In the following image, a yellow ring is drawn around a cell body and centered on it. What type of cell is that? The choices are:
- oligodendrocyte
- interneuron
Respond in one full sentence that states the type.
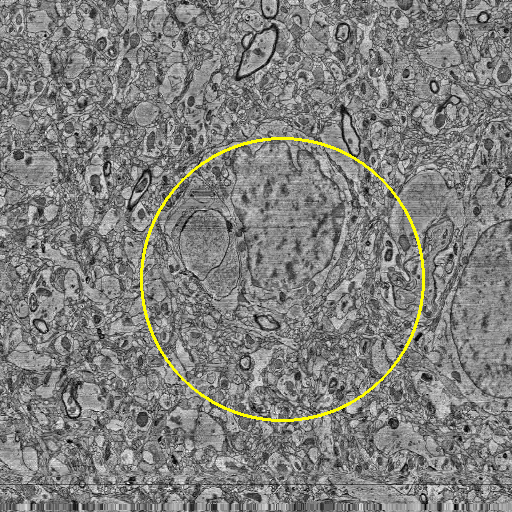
The cell at the center of the yellow ring in the image is an interneuron.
